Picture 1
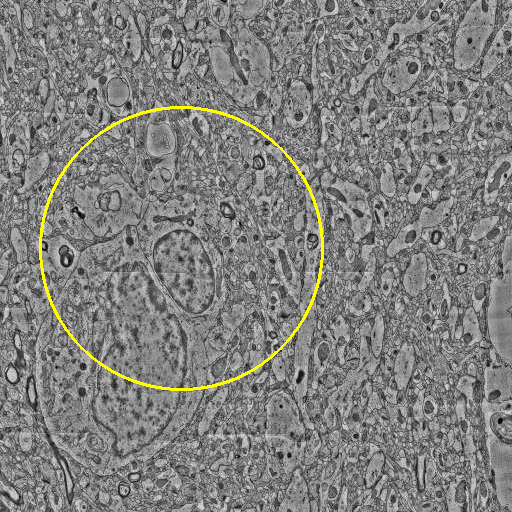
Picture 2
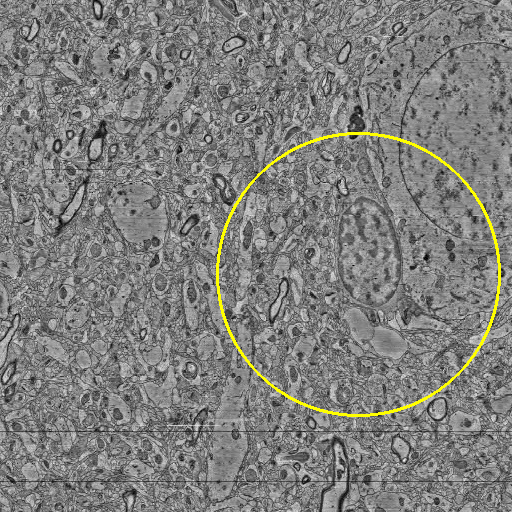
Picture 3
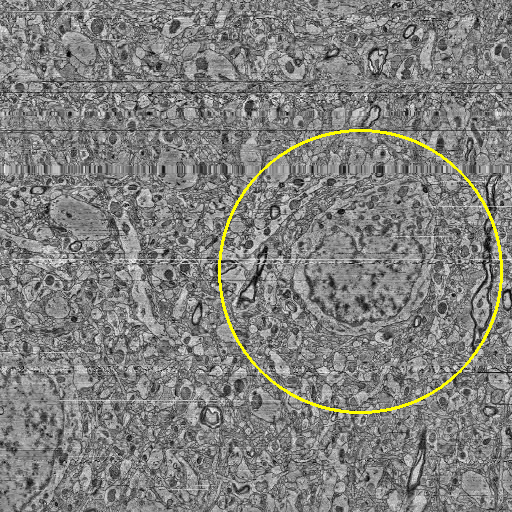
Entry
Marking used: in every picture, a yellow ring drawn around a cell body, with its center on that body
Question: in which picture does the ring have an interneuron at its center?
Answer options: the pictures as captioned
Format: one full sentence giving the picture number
Picture 3 is where the ring's center falls on the requested cell.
